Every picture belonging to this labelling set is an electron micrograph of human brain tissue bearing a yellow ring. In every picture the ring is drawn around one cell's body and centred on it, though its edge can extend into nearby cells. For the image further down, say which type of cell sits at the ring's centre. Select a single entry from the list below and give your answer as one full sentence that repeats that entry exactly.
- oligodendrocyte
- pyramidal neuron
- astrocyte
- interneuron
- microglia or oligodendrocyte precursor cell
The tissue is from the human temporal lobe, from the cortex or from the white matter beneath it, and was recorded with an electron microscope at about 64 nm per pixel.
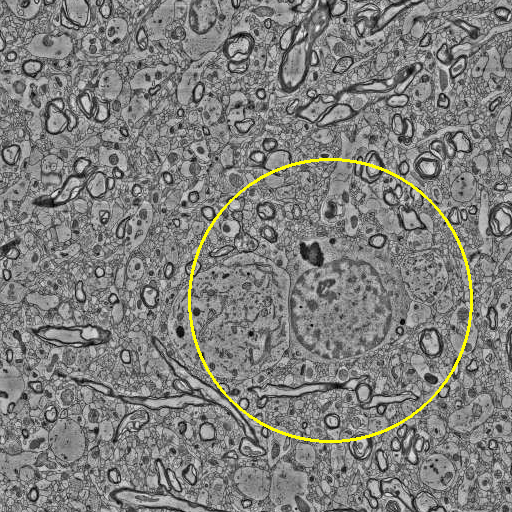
In the picture, an oligodendrocyte is the cell at the centre of the yellow ring.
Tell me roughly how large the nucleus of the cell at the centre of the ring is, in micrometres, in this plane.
The nucleus is about 7 micrometres across in this plane.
